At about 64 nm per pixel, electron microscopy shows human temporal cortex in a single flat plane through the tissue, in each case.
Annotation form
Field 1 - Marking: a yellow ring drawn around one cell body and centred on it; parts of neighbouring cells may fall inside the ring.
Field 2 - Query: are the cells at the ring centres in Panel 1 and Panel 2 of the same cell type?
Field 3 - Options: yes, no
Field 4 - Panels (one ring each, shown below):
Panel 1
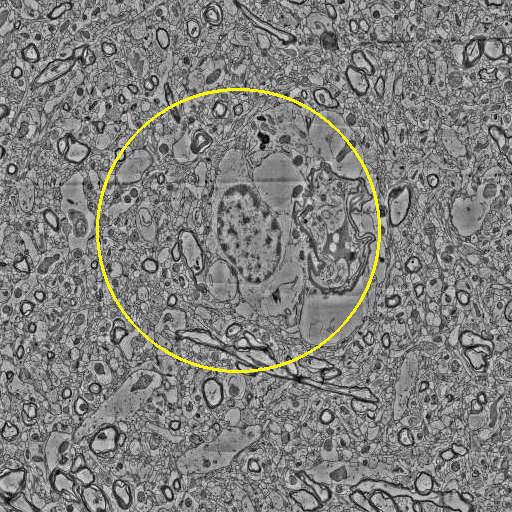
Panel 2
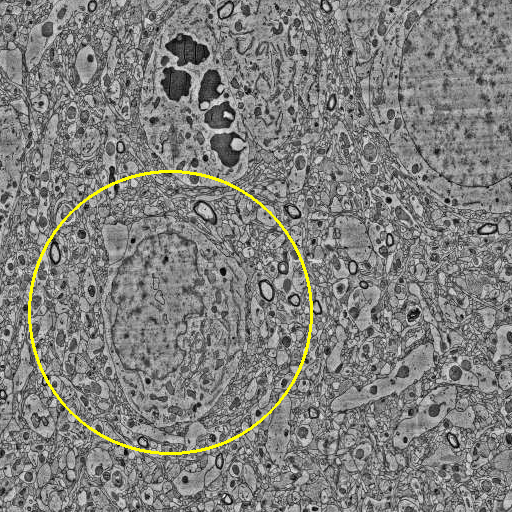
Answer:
no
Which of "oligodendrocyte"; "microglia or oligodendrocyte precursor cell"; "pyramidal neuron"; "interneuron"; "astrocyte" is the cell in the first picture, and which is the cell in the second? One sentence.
The two differ: the first cell is a microglial cell or oligodendrocyte precursor cell and the second is an interneuron.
